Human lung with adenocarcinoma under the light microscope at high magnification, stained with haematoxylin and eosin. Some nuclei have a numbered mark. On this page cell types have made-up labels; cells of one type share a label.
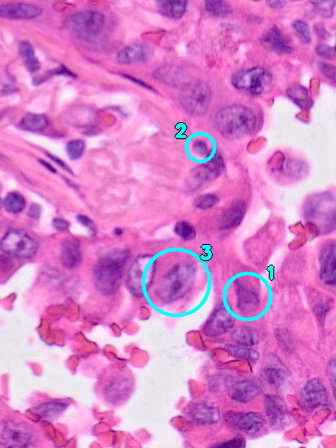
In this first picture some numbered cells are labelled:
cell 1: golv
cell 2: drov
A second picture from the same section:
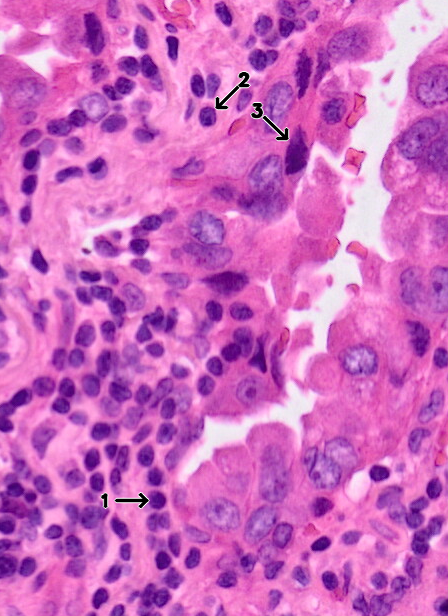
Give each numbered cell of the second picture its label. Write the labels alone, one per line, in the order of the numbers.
drov
drov
golv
